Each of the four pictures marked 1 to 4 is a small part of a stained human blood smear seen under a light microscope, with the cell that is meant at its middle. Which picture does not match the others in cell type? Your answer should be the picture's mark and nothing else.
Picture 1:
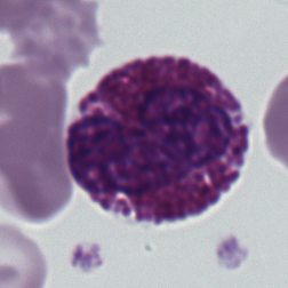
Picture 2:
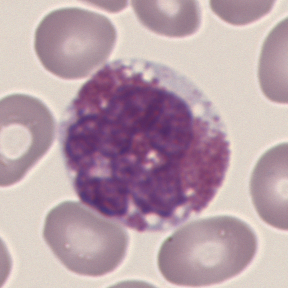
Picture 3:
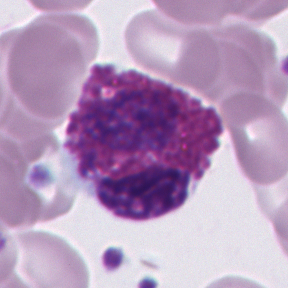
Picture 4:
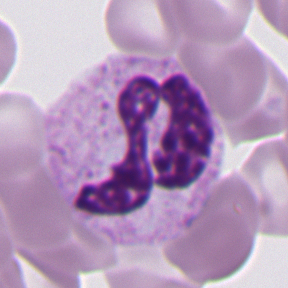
4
